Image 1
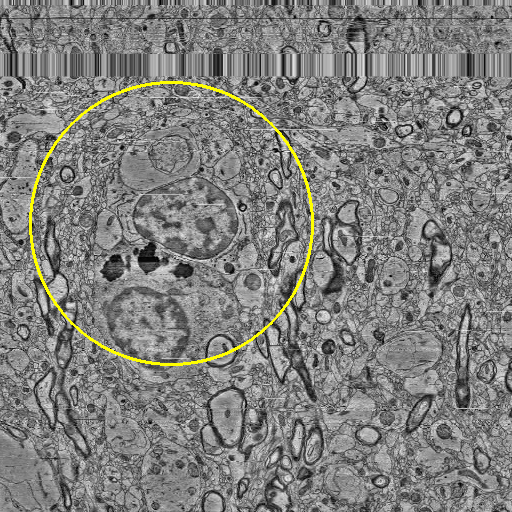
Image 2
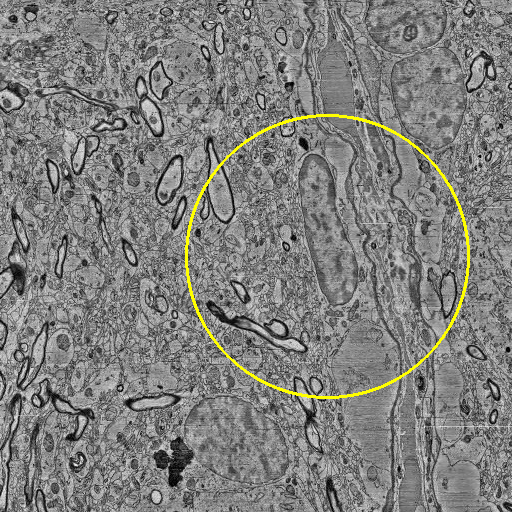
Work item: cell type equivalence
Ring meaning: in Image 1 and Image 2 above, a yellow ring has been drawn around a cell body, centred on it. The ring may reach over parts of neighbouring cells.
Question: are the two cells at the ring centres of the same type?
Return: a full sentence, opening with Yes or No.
Yes, the two centred cells are of the same type.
